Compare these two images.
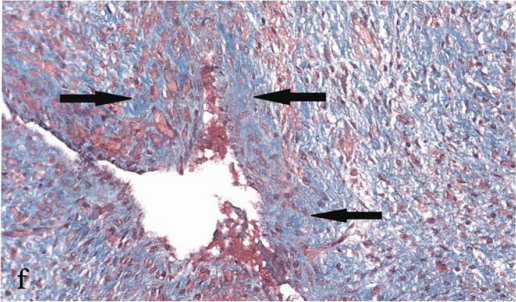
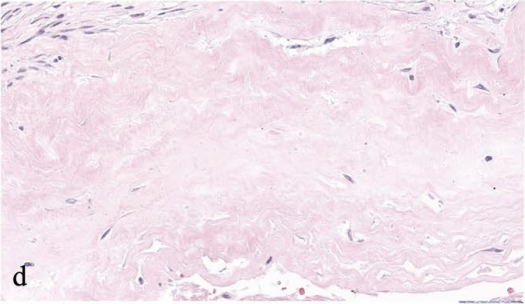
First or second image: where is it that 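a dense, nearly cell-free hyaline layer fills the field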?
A: the second image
